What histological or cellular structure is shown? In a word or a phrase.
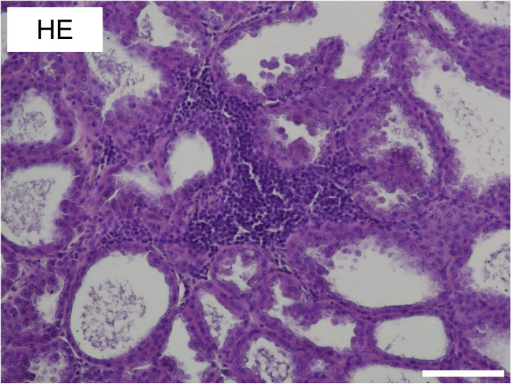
small-sized aggregation of lymphocytes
